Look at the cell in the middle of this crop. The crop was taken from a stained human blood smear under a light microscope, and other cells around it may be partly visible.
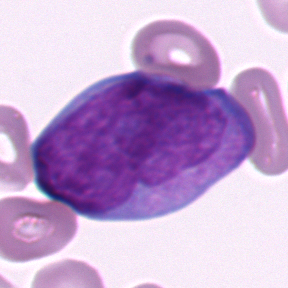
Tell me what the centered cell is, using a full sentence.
The cell at the central position in this crop is an atypical promyelocyte.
